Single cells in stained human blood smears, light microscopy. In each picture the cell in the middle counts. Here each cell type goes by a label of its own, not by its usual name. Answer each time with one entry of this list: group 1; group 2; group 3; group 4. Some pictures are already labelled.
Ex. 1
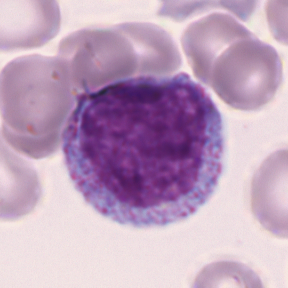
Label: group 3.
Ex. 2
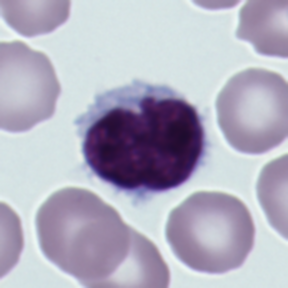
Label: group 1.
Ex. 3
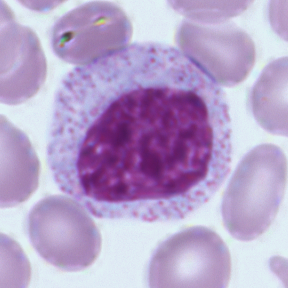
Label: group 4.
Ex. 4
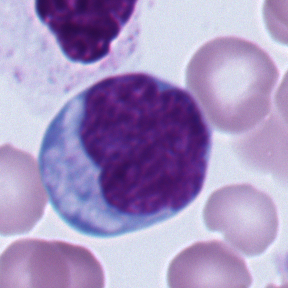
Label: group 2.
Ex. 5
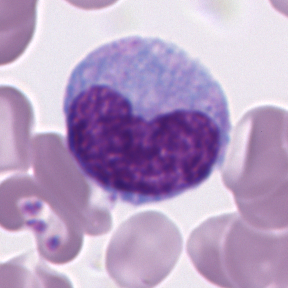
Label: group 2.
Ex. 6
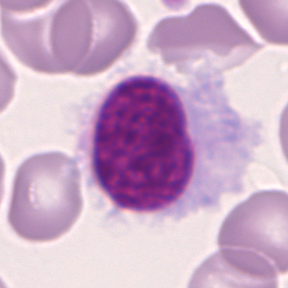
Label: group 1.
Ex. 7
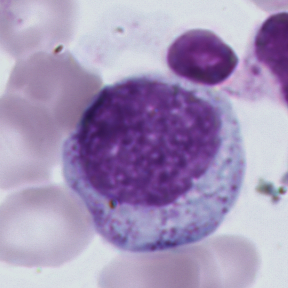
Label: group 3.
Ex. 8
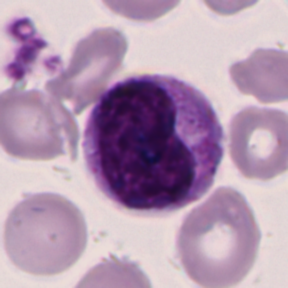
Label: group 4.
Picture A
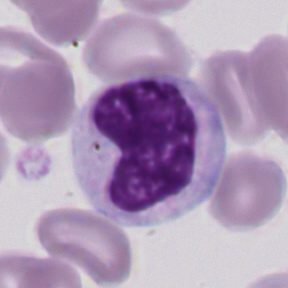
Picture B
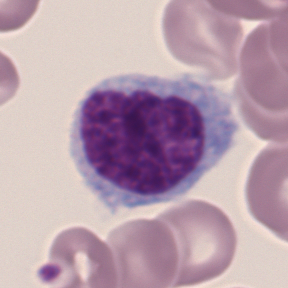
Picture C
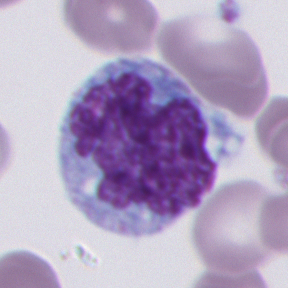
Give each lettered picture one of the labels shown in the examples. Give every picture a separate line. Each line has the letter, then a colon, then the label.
A: group 4.
B: group 2.
C: group 2.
